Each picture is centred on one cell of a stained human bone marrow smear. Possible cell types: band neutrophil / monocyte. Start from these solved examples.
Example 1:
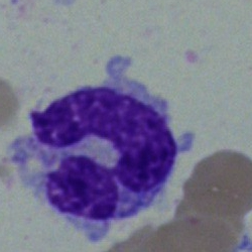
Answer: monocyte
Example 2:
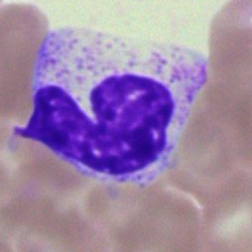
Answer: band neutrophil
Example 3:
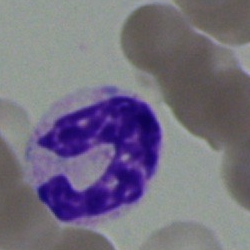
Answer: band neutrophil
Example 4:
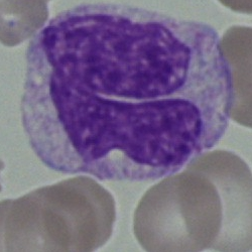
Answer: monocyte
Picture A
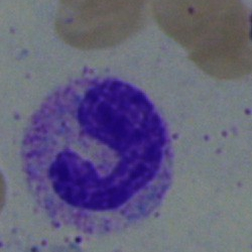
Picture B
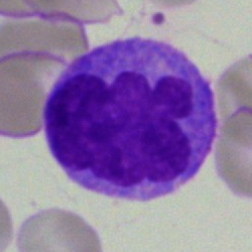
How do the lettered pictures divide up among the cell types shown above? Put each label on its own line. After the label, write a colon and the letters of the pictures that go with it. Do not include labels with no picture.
band neutrophil: A
monocyte: B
